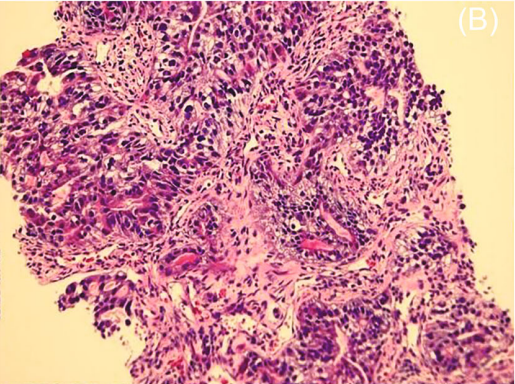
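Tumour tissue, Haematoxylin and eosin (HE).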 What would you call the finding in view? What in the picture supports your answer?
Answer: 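Nuclear atypia. Nuclei vary in size and shape. Many nuclei are enlarged and dark. Nuclei are crowded and irregularly placed.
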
